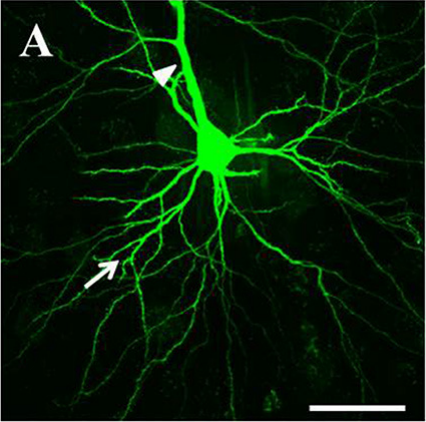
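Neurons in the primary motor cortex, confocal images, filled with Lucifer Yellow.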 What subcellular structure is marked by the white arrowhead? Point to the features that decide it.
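A single thick process rises from the top of the cell body toward the upper edge of the image. The arrowhead points beside this thick ascending trunk, which gives off side branches.
Answer: apical dendrite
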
